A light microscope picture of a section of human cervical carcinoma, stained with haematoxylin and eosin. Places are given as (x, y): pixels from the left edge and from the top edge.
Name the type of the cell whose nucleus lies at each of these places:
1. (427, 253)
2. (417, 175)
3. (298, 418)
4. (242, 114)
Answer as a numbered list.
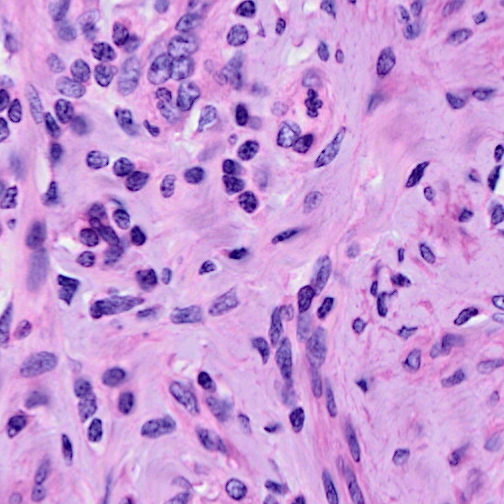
1. smooth muscle cell
2. lymphocyte
3. lymphocyte
4. lymphocyte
